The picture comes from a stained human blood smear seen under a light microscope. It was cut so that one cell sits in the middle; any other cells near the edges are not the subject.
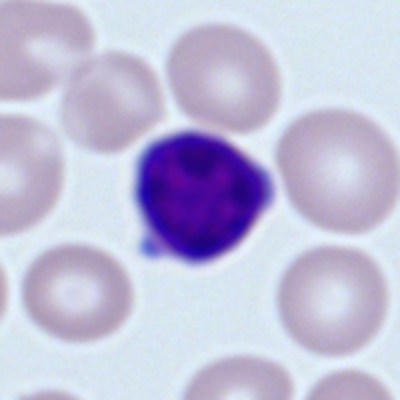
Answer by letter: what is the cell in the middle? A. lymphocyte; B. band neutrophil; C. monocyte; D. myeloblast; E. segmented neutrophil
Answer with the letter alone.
A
